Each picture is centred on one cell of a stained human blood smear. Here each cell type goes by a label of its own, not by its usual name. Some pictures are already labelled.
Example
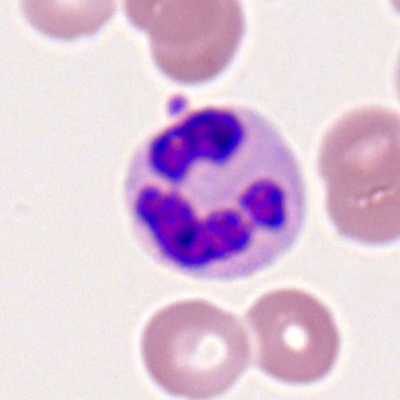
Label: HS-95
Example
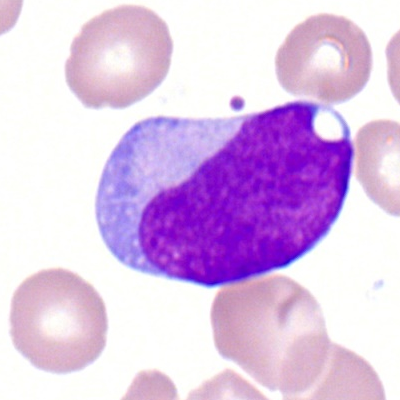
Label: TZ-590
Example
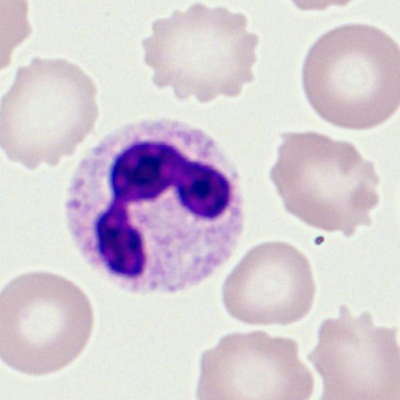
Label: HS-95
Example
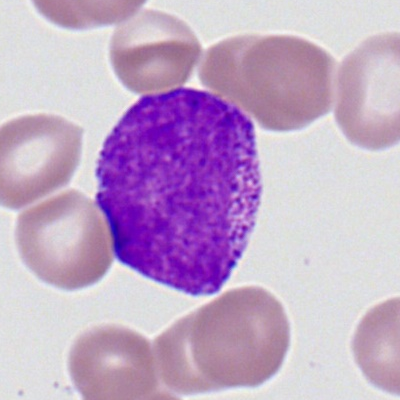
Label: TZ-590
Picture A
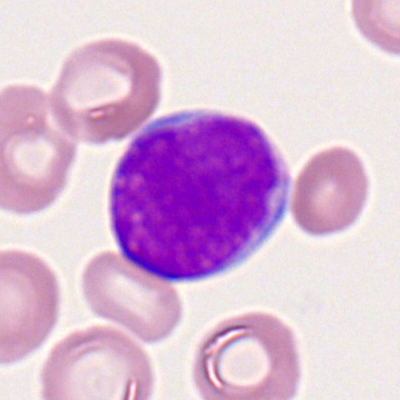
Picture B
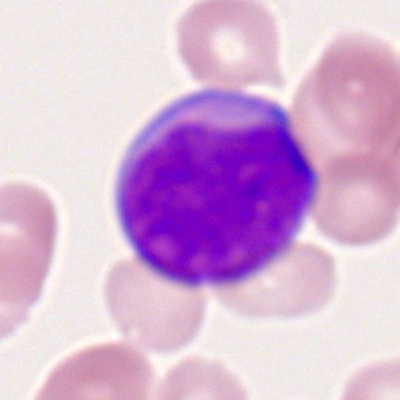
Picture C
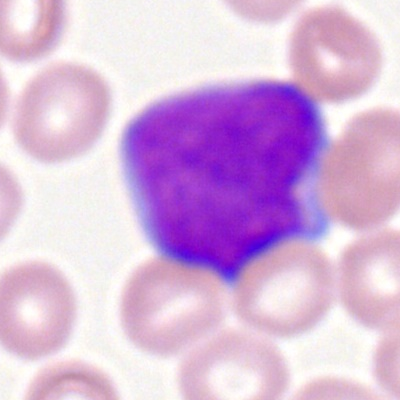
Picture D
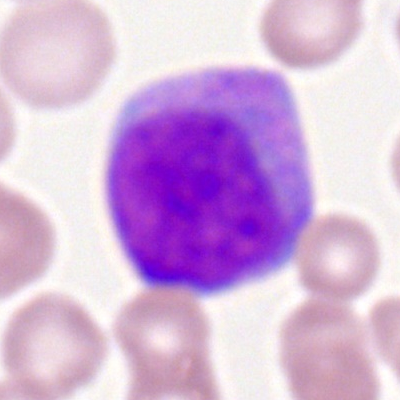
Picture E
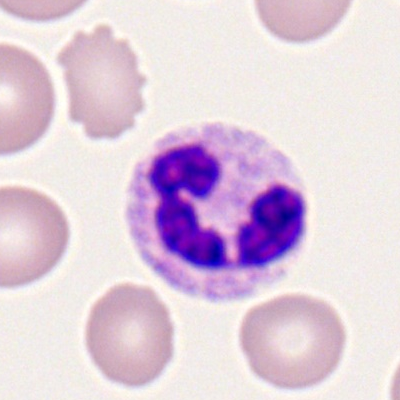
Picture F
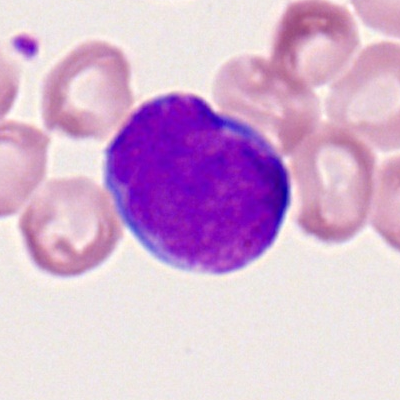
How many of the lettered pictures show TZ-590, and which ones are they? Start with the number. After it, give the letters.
5, namely A, B, C, D, F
